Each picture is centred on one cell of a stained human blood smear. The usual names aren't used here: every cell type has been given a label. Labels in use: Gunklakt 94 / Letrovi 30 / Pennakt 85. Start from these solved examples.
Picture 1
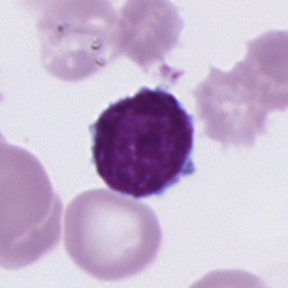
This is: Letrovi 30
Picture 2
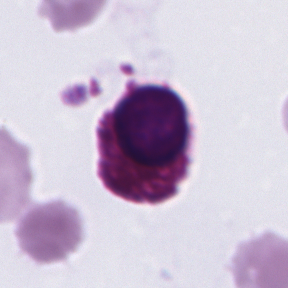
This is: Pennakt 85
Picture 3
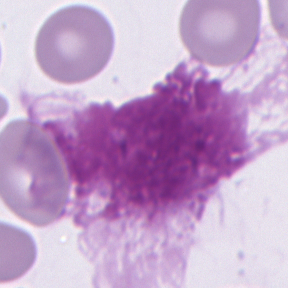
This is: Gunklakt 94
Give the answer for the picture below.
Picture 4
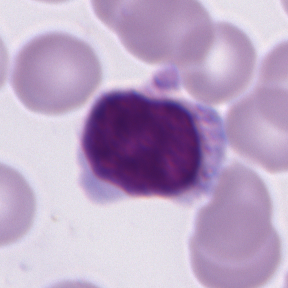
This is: Letrovi 30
